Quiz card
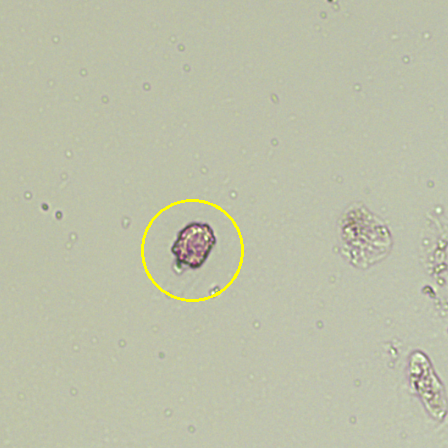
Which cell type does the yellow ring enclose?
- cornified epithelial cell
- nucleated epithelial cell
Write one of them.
nucleated epithelial cell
